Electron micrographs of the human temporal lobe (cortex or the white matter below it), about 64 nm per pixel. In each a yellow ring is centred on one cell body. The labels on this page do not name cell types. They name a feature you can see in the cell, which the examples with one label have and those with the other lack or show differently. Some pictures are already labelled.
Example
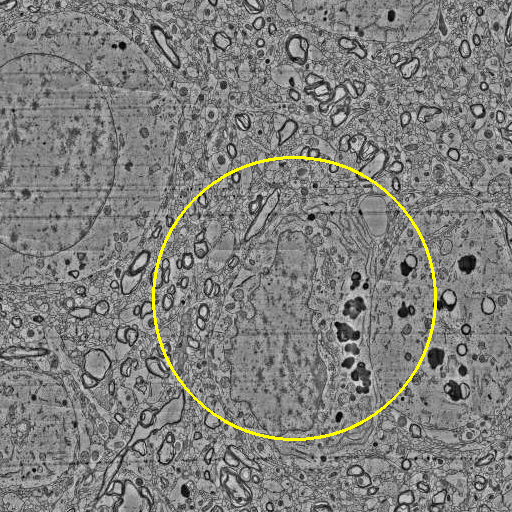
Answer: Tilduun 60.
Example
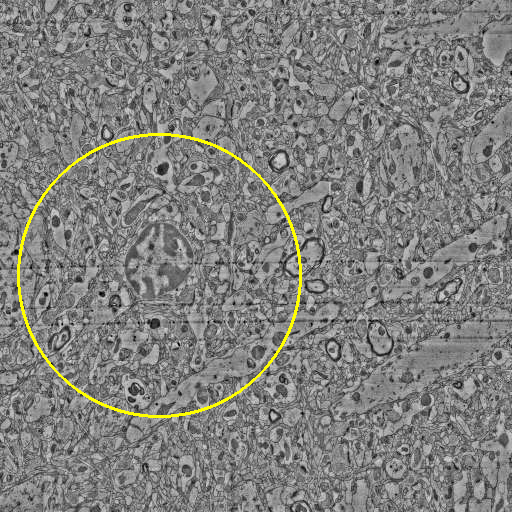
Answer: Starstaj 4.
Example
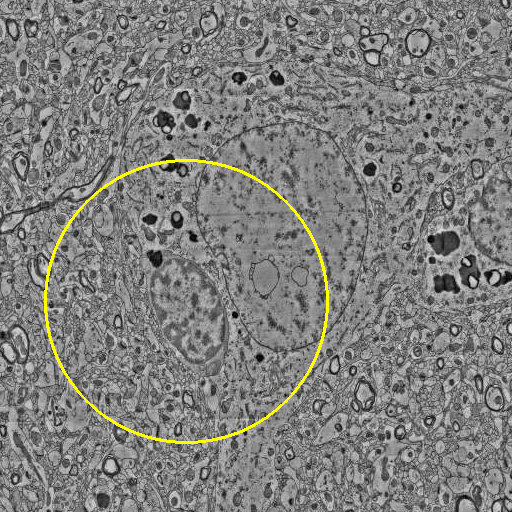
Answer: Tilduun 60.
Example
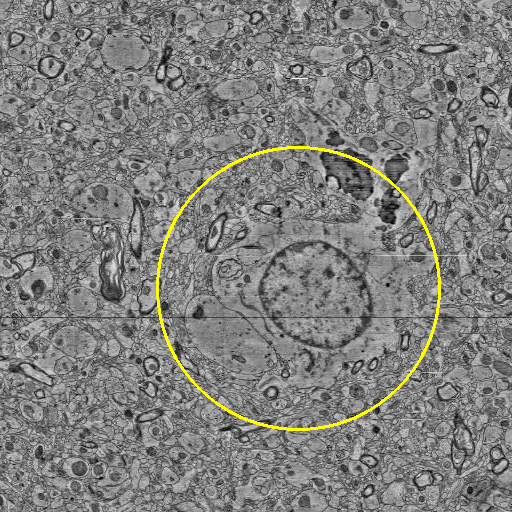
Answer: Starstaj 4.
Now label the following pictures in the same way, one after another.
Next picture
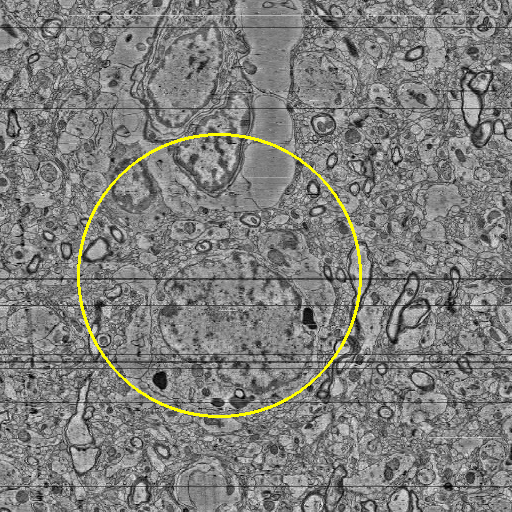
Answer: Starstaj 4.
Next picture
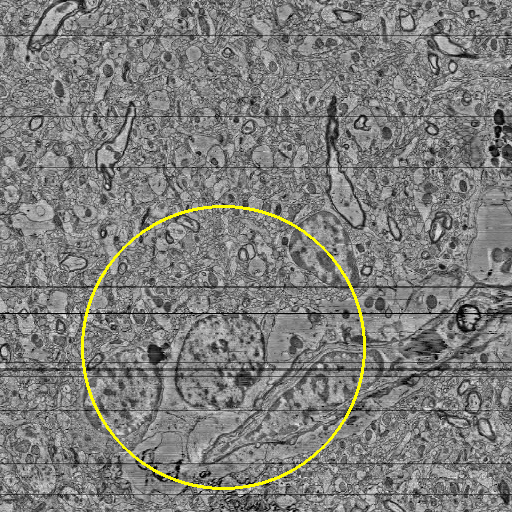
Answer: Starstaj 4.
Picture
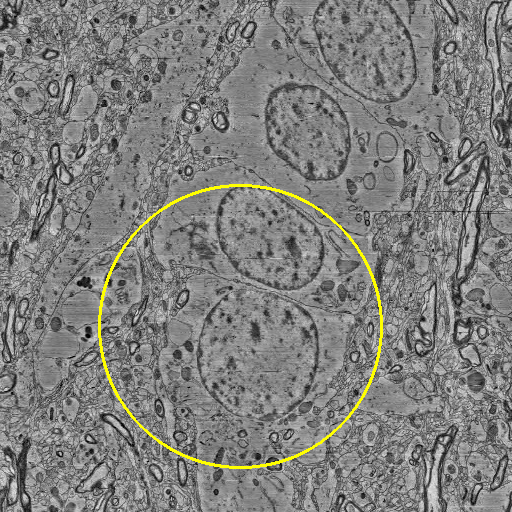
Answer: Starstaj 4.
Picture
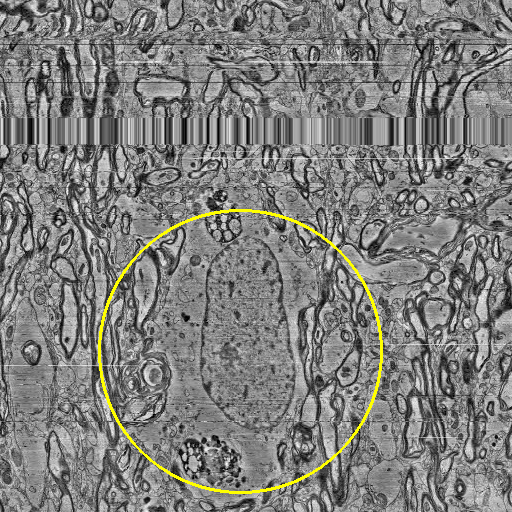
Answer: Tilduun 60.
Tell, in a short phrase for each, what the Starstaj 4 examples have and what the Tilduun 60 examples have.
Starstaj 4: round or nearly round nuclei; Tilduun 60: clearly elongated nuclei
